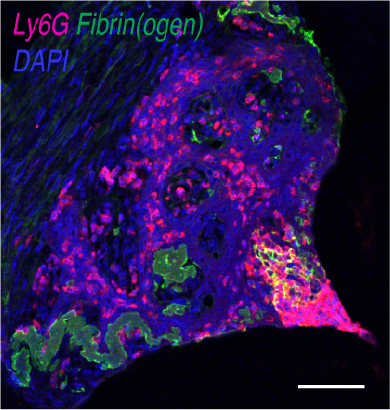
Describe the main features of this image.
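Many small, round magenta cells are crowded through the tissue, most densely toward the lower right where they form a compact mass. Green deposits run as a wavy band along the lower left edge and form scattered patches within the tissue. At the lower right, green material lies among the crowded magenta cells, with yellowish overlap where the two meet. Blue nuclei fill the background tissue, which in the upper left shows elongated, streaming nuclei.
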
